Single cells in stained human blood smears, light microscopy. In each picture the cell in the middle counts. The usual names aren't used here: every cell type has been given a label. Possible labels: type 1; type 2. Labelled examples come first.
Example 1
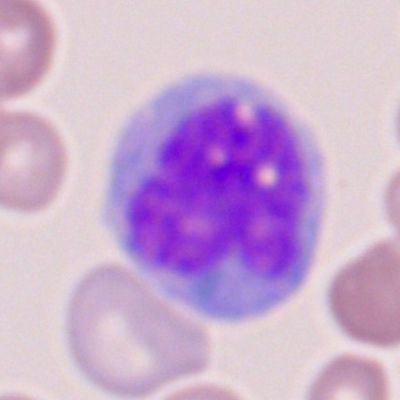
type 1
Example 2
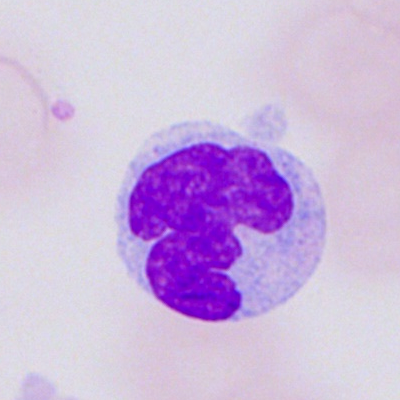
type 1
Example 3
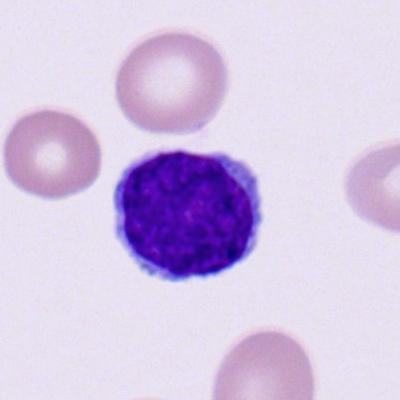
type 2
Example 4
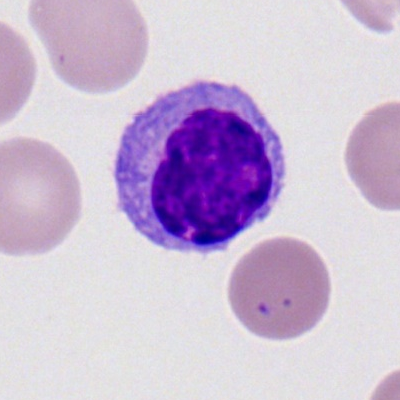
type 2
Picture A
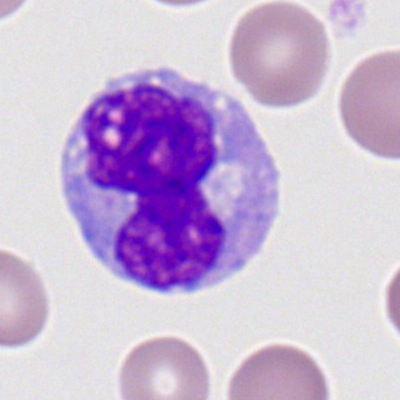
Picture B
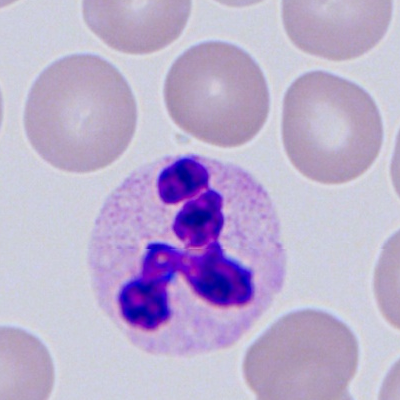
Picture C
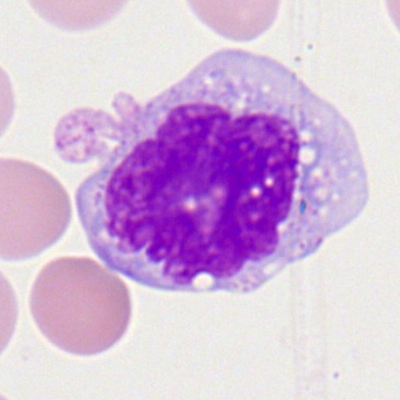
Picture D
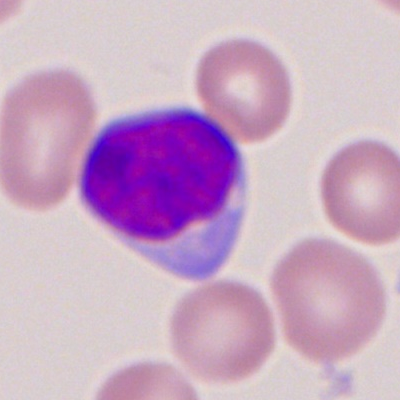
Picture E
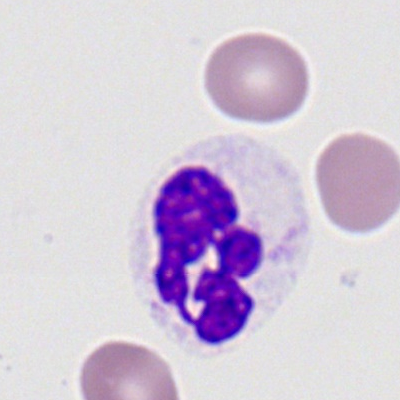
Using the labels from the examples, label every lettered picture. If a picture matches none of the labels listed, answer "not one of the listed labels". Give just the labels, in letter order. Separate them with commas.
type 1, not one of the listed labels, type 1, type 2, not one of the listed labels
